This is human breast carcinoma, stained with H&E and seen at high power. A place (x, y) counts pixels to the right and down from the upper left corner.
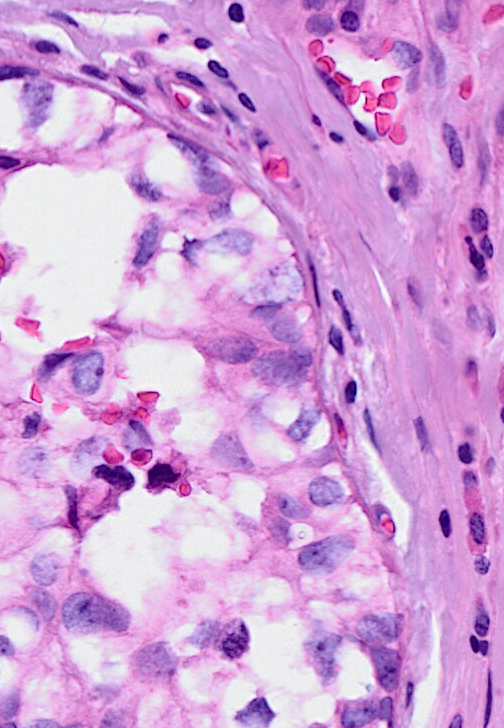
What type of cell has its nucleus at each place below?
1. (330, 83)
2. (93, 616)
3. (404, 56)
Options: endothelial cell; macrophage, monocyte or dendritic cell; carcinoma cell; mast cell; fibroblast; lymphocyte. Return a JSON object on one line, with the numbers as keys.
{"1": "endothelial cell", "2": "carcinoma cell", "3": "endothelial cell"}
